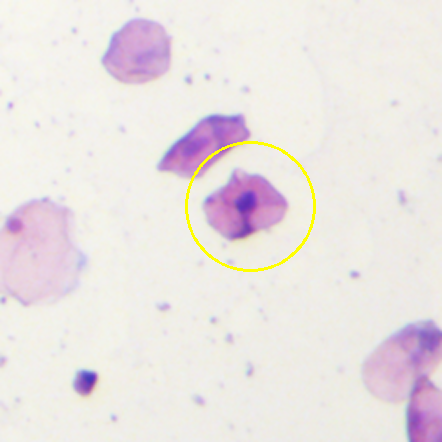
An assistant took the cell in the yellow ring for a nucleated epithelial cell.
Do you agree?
I agree, it is a nucleated epithelial cell.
